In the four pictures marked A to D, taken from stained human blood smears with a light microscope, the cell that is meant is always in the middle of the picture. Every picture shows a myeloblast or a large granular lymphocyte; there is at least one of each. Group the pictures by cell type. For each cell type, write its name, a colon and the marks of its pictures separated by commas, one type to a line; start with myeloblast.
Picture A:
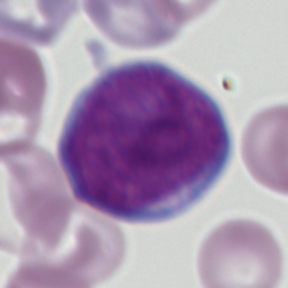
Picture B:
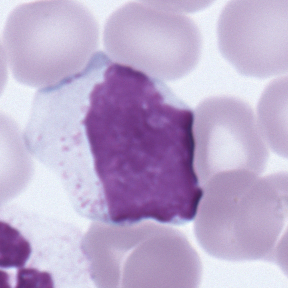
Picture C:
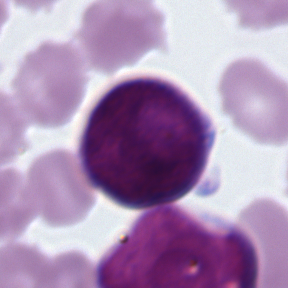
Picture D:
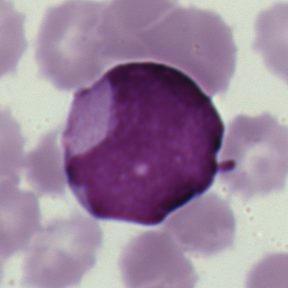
myeloblast: A, C, D
large granular lymphocyte: B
